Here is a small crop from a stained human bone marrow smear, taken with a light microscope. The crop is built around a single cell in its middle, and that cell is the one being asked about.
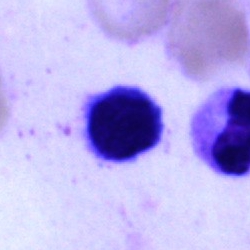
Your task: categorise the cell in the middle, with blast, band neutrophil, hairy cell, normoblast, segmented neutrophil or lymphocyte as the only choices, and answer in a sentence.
The target cell in the middle of the crop is a lymphocyte.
